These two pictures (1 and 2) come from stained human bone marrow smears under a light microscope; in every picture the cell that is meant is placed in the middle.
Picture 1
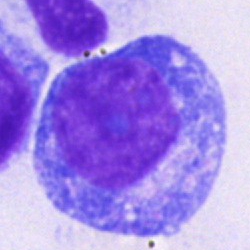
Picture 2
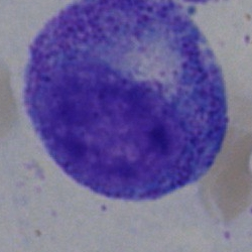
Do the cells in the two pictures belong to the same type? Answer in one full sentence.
Yes, the two pictures both show promyelocytes.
